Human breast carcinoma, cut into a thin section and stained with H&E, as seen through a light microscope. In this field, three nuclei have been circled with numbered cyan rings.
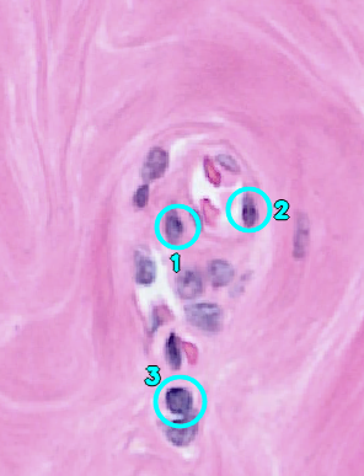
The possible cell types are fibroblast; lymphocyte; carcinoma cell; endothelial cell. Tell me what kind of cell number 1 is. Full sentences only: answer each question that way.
The cell pointed out as number 1 is an endothelial cell.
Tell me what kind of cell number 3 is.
Cell 3, as marked in the section, is a lymphocyte.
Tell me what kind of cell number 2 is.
Numbered cell 2 is an endothelial cell in this tissue section.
